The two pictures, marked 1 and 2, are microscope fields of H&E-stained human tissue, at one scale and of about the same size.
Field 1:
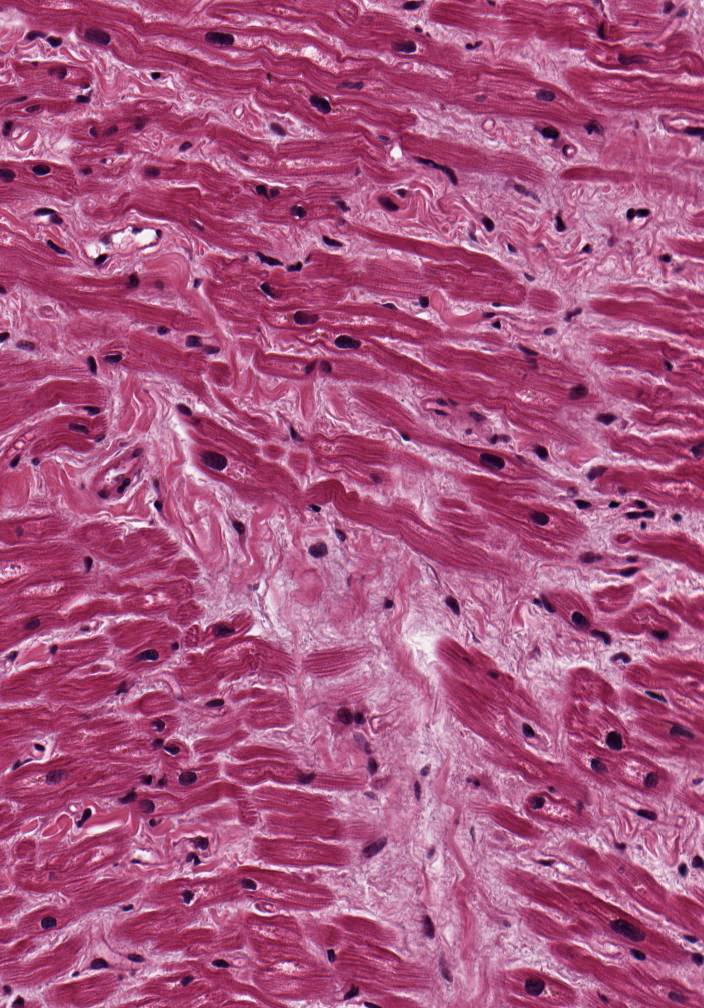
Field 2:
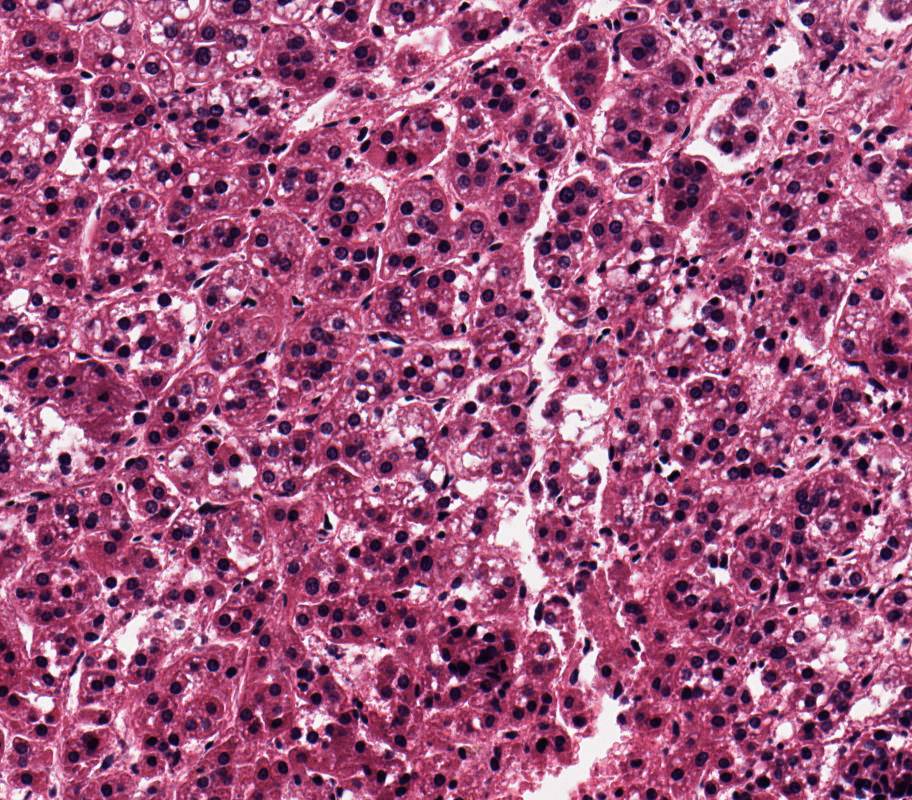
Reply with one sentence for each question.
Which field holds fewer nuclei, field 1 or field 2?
There are fewer nuclei in field 1.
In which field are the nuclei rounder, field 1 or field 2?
On the whole the nuclei of field 2 are rounder than those of field 1.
